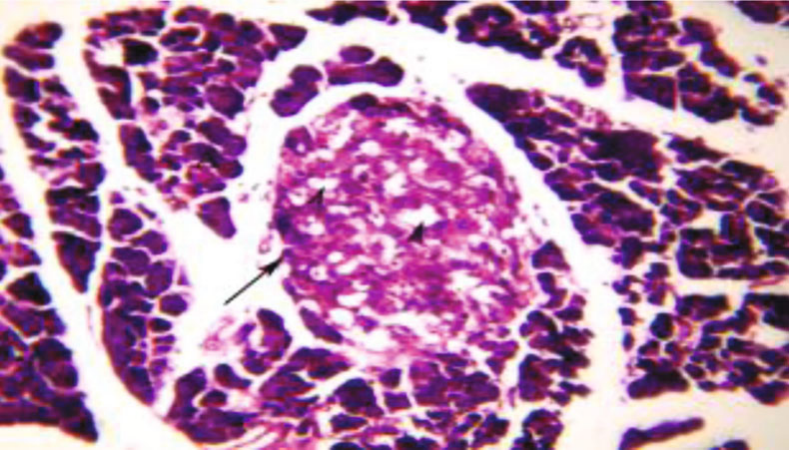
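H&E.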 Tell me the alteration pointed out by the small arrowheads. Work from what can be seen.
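Many clear, unstained spaces lie scattered between the cells of the pale central cluster. The cluster looks foamy and irregular. On this evidence: vacuolation in between cells.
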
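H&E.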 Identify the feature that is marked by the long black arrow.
pancreatic islet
